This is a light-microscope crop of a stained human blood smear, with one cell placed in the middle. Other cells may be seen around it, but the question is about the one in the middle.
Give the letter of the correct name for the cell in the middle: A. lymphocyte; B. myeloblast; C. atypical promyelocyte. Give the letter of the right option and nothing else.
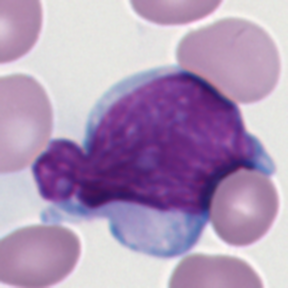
B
